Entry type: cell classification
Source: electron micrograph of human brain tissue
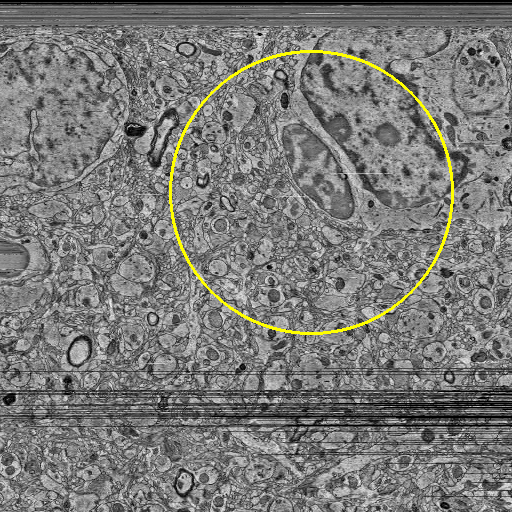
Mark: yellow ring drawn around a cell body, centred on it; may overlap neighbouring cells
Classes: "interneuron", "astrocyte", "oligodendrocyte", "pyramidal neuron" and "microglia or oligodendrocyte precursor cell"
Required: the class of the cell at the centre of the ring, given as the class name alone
microglia or oligodendrocyte precursor cell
